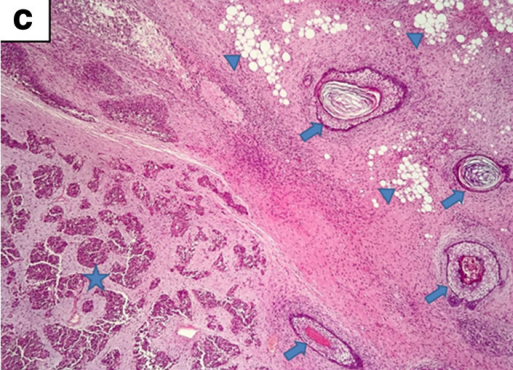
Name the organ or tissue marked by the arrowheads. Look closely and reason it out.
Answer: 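The vacuoles have thin walls and lie within pink stroma. The answer: adipose tissue.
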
